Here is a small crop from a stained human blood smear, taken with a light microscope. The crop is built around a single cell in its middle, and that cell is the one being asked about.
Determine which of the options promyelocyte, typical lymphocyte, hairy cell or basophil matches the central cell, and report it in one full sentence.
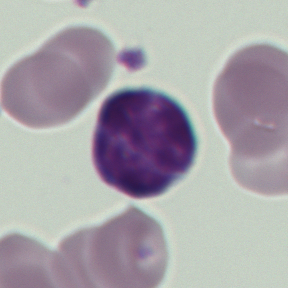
Centred in the crop is a typical lymphocyte.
